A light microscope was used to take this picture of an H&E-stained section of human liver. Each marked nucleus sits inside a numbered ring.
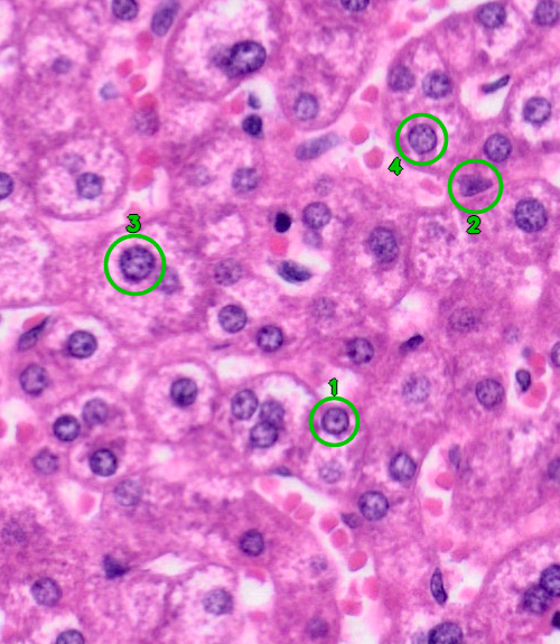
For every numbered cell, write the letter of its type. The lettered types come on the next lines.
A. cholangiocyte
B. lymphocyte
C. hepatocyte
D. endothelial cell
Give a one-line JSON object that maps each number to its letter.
{"1": "C", "2": "D", "3": "C", "4": "C"}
